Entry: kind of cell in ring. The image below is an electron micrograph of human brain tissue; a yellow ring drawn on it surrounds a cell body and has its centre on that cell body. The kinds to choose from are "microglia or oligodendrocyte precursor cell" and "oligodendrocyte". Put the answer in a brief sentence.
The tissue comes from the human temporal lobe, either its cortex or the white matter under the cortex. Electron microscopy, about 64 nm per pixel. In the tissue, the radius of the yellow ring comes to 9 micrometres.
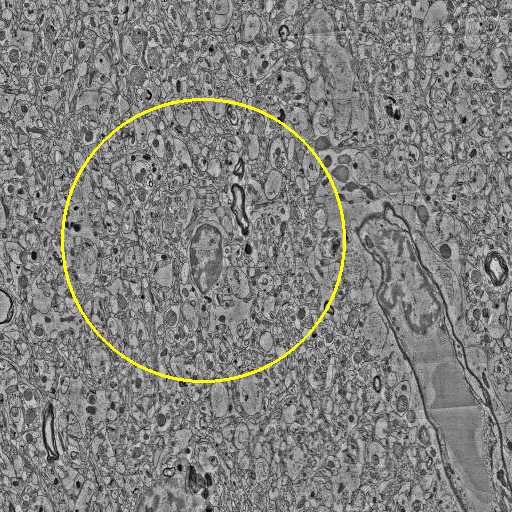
The ring has been drawn around a microglial cell or oligodendrocyte precursor cell.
